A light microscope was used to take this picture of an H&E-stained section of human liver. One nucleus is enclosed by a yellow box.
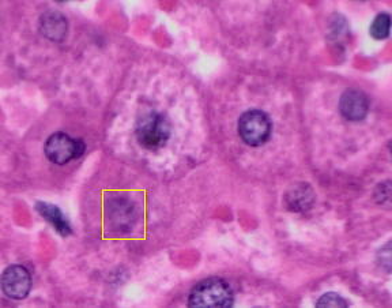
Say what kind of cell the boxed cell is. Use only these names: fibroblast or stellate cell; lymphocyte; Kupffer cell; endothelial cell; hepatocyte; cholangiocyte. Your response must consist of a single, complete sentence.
The cell type of the boxed cell is that of a hepatocyte.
